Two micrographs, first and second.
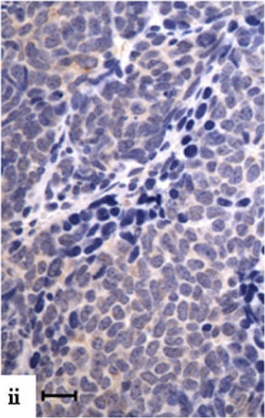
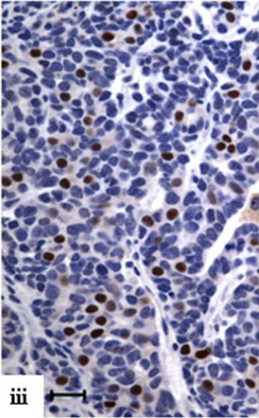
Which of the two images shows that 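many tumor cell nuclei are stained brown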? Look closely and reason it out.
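Second image: many scattered nuclei are dark brown among blue ones. First image: nuclei are blue, with no brown nuclei. On this evidence: the second image.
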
